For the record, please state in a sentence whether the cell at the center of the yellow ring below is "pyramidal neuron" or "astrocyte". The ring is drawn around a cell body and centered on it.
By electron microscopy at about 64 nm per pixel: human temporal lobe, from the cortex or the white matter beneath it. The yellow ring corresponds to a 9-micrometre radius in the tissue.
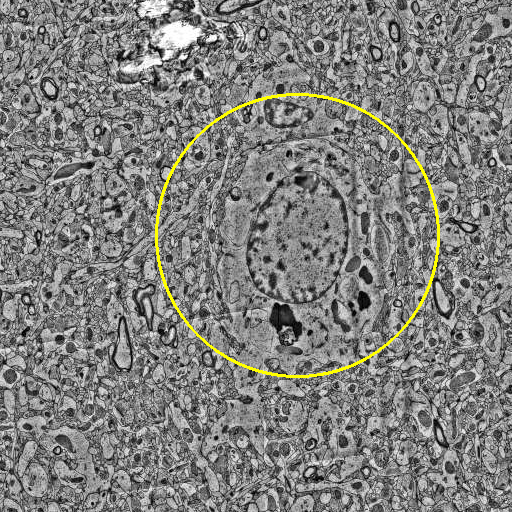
The cell at the ring's center is an astrocyte.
